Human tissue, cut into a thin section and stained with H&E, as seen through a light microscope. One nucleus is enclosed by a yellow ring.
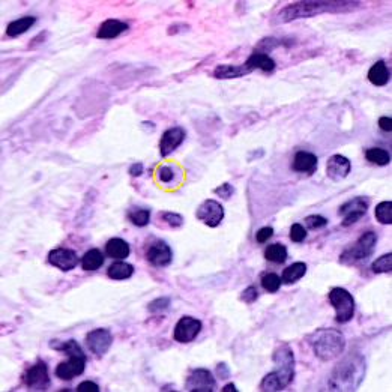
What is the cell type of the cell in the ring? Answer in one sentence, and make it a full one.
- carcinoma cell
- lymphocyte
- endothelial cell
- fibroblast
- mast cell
As a matter of cell type, the cell in the ring is a lymphocyte.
